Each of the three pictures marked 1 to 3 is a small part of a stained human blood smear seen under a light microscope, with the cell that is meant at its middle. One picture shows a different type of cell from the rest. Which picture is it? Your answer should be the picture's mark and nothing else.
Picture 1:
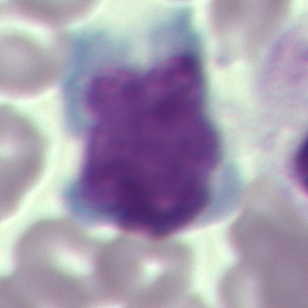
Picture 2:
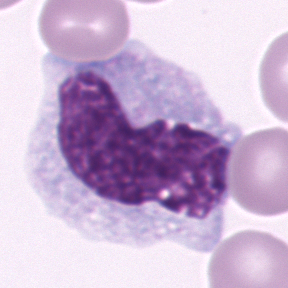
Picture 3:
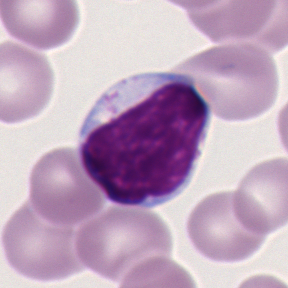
3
